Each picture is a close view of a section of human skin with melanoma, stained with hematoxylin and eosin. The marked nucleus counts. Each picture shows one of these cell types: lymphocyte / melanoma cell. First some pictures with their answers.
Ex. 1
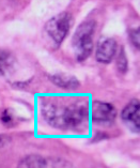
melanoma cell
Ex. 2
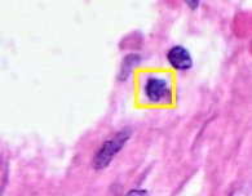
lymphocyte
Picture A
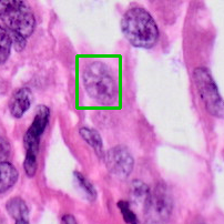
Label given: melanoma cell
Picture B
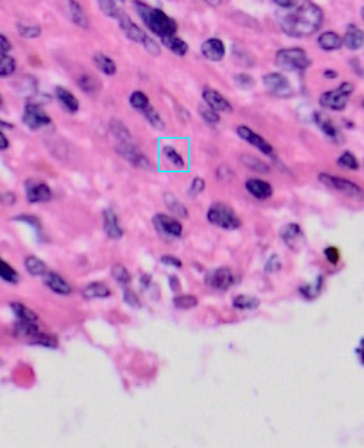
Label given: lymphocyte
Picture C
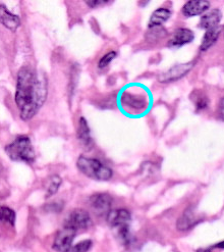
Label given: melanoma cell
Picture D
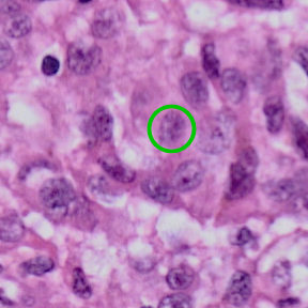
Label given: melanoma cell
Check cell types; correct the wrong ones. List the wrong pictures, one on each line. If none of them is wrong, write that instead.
Every label is right.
